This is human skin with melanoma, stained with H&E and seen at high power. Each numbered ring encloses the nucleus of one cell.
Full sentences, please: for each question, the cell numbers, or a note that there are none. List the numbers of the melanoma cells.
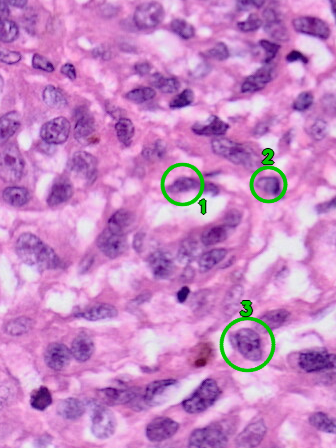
The cells which carry the numbers 1 and 3 are melanoma cells.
